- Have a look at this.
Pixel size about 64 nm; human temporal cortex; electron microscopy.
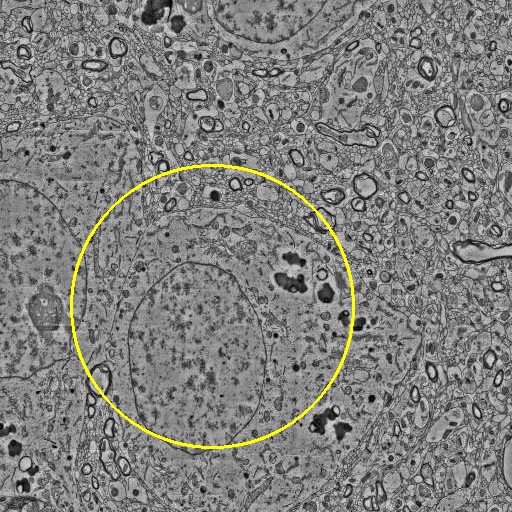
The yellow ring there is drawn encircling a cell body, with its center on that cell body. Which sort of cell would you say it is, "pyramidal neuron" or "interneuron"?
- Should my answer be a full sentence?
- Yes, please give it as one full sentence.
For this picture, a pyramidal neuron is the cell where the yellow ring has its center.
